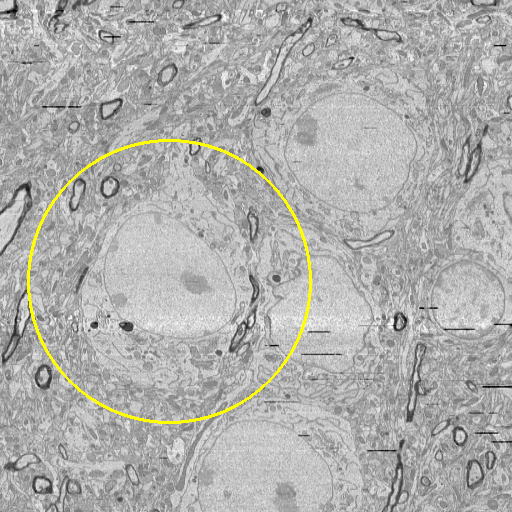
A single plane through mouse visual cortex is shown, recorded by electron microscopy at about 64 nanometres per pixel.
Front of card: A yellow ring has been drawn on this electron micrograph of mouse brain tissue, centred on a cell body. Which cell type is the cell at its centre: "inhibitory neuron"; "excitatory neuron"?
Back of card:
excitatory neuron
